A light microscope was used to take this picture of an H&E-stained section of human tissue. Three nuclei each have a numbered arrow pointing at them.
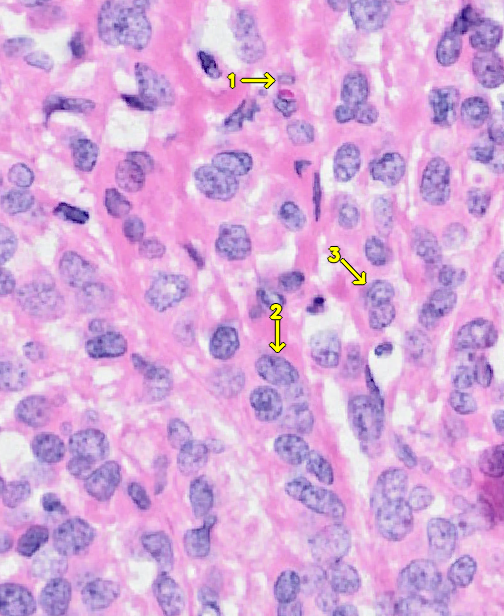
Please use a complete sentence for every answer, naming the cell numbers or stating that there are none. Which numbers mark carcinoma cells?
In this section, the cells numbered 2 and 3 are carcinoma cells.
